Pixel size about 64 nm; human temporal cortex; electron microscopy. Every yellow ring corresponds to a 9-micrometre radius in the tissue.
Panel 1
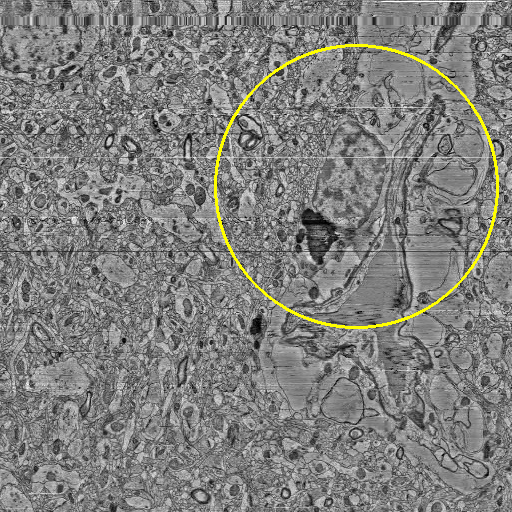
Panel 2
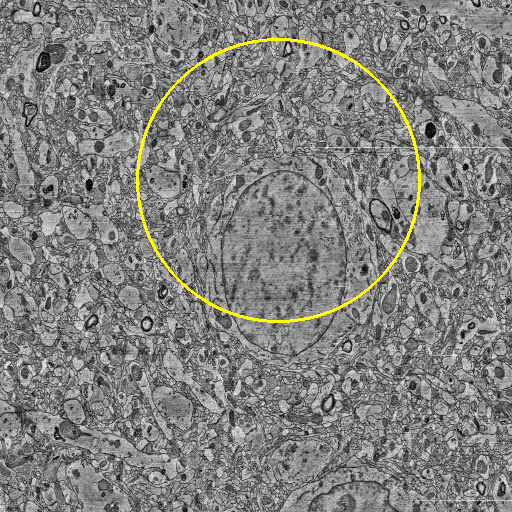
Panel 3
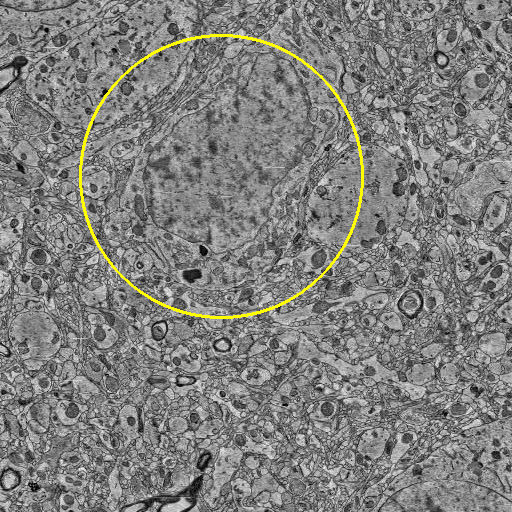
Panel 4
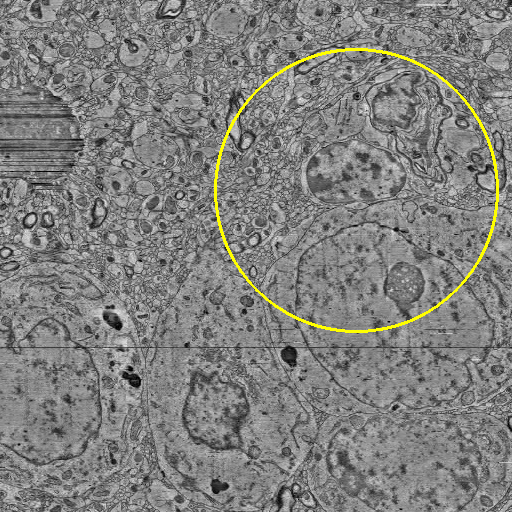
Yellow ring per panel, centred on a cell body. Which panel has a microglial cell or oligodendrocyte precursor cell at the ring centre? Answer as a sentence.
Panel 4 shows it at the ring centre.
